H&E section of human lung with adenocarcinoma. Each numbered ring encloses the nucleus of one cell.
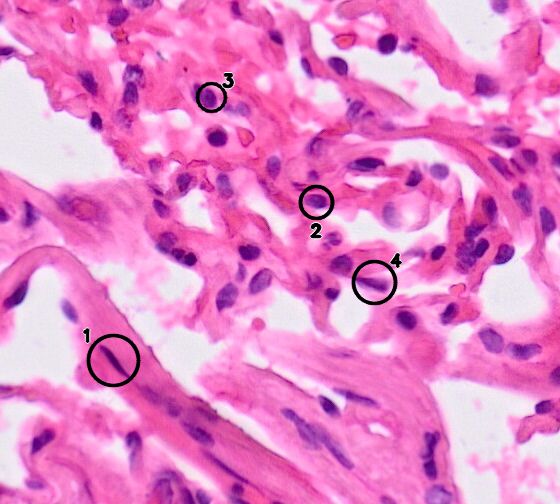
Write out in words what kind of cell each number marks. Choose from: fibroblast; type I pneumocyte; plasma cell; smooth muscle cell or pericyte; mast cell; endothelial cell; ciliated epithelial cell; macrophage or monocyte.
Cell 1 is an endothelial cell. Cells 2, 3 and 4 are type I pneumocytes.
